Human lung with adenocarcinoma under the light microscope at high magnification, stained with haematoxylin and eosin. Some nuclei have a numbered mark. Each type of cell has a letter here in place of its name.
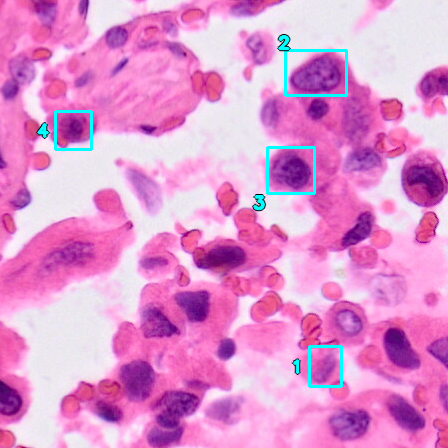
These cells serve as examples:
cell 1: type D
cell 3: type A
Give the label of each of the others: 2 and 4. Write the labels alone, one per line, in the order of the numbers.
type A
type D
